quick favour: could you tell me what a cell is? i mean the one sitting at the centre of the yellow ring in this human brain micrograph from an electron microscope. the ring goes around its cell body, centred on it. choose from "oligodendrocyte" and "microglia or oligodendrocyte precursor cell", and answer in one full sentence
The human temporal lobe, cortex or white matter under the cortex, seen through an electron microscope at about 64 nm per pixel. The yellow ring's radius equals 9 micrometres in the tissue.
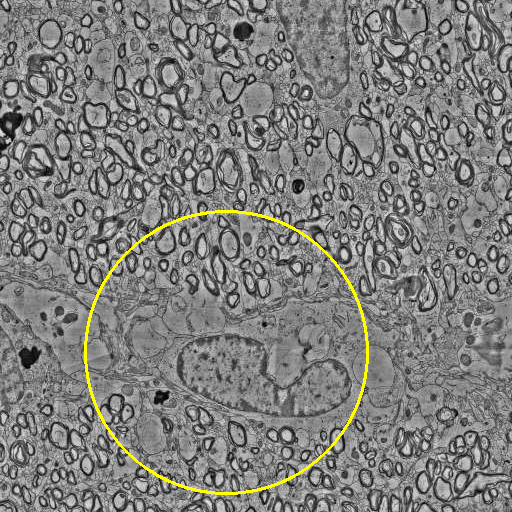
That's a microglial cell or oligodendrocyte precursor cell, the cell sitting at the centre of the yellow ring.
